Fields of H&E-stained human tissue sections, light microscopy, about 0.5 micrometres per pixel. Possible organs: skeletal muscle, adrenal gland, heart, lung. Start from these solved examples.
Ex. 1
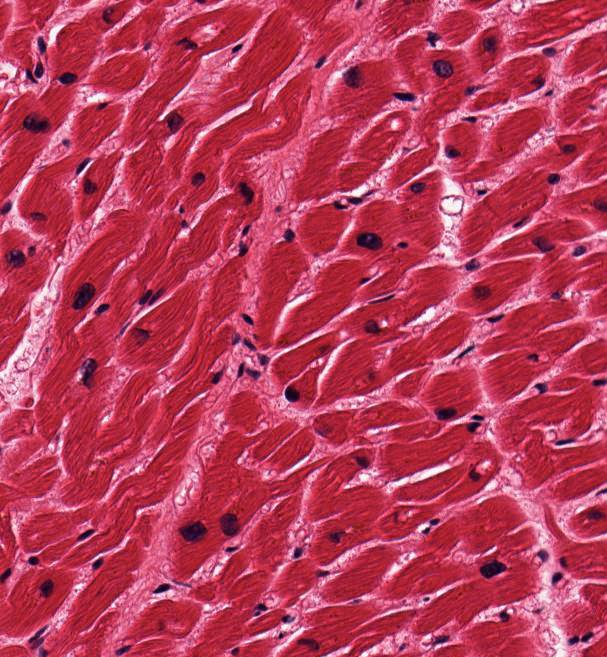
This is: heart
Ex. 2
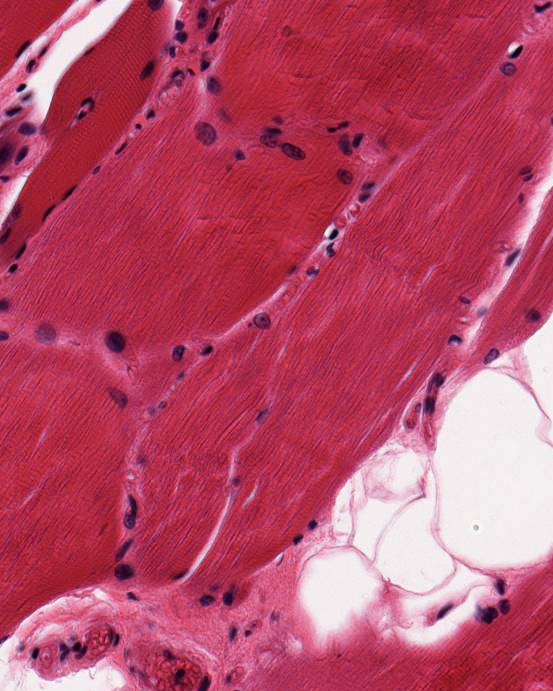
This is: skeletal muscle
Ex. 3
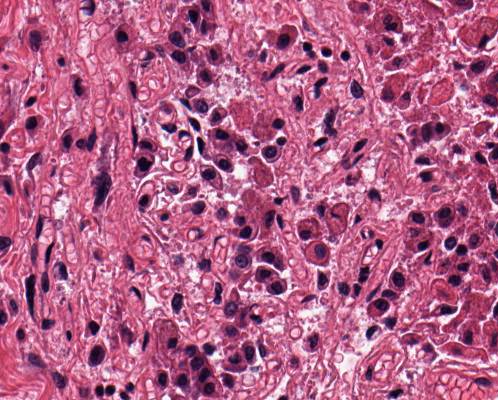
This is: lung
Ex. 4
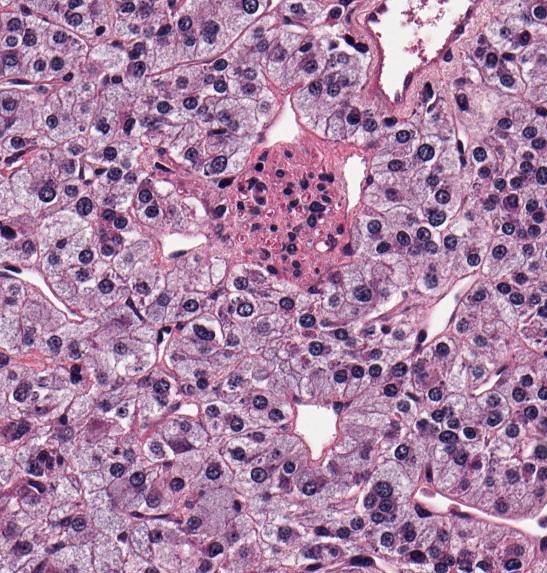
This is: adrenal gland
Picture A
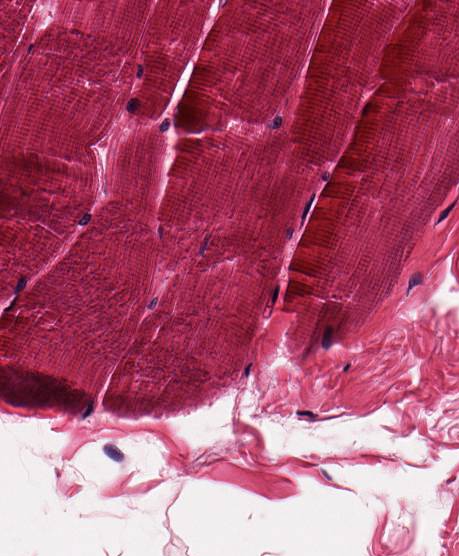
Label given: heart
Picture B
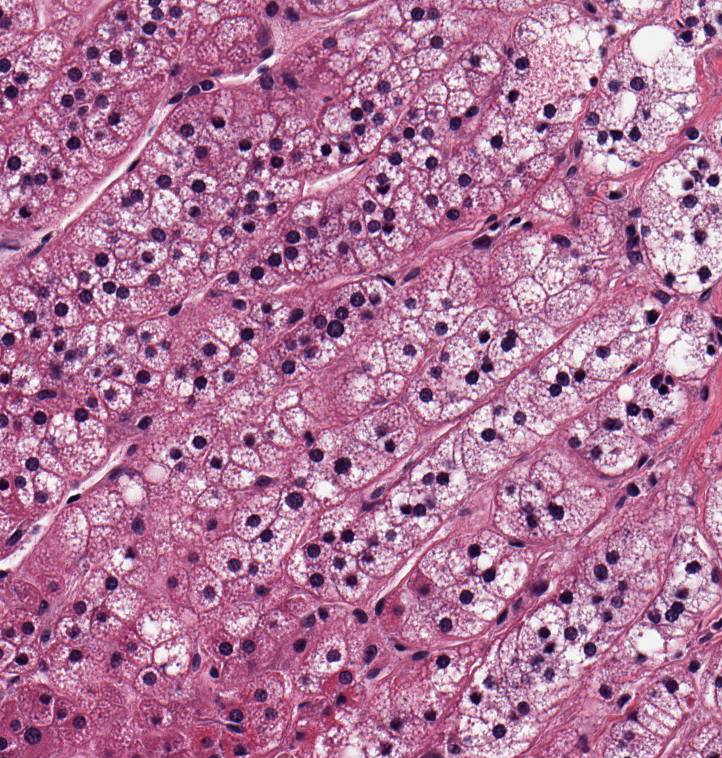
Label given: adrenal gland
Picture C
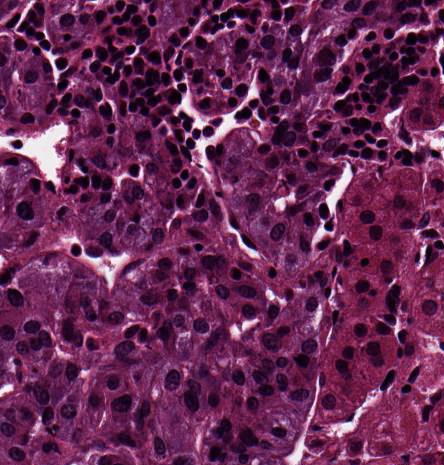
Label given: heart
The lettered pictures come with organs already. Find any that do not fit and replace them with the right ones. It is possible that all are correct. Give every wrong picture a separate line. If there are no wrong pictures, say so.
A: skeletal muscle, not heart
C: adrenal gland, not heart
